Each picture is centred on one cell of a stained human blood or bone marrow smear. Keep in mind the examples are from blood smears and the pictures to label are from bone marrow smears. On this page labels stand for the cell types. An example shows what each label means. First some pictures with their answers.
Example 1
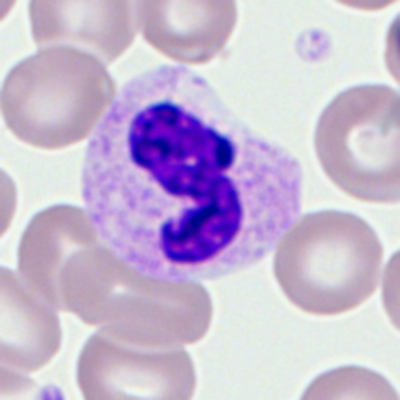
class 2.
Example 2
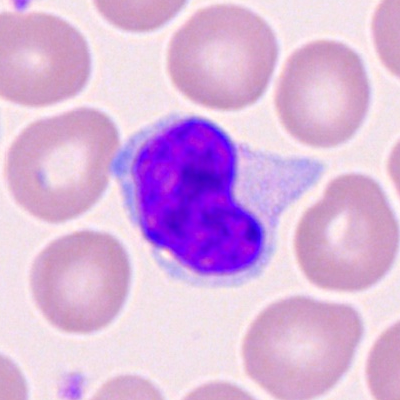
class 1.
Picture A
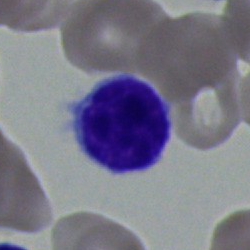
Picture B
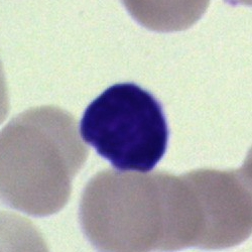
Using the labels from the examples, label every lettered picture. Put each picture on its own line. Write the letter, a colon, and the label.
A: class 1.
B: class 1.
